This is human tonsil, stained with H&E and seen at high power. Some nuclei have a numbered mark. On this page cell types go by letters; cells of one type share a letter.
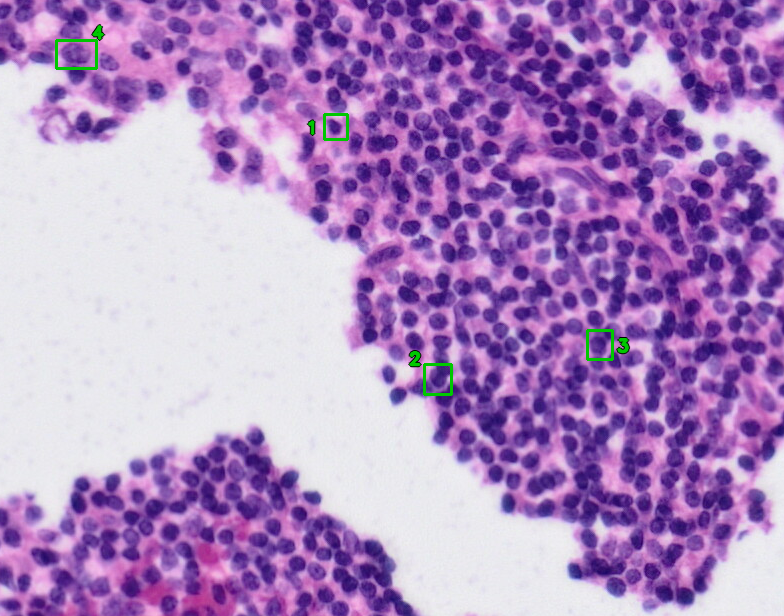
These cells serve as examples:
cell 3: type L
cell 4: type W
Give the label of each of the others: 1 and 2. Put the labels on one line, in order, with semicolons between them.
type L; type L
